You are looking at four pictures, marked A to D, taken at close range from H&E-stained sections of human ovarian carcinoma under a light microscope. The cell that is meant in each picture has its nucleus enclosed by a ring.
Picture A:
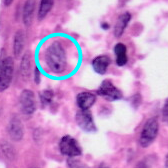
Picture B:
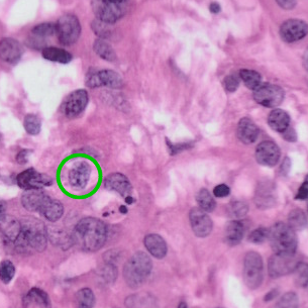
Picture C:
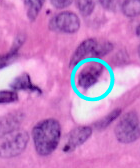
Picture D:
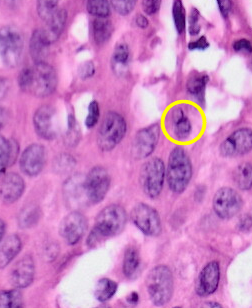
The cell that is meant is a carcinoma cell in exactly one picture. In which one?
C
